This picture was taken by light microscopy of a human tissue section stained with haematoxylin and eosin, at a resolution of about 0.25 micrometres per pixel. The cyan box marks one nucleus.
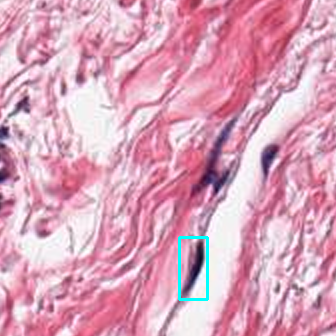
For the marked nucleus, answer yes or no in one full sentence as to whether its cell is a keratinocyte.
No, the marked nucleus belongs not to a keratinocyte but to a supporting cell of connective tissue, a vessel or the immune system.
